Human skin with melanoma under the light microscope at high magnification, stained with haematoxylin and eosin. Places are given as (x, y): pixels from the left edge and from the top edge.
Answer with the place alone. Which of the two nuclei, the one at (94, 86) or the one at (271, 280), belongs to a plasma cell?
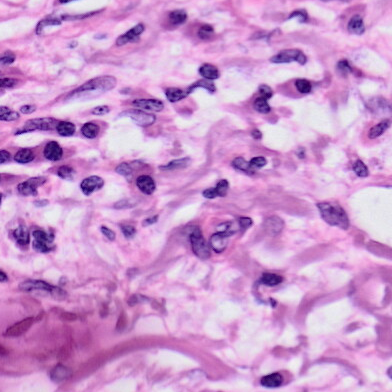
(271, 280)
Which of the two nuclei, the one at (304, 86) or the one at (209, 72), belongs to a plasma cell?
(304, 86)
